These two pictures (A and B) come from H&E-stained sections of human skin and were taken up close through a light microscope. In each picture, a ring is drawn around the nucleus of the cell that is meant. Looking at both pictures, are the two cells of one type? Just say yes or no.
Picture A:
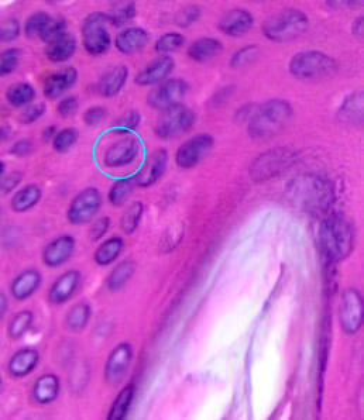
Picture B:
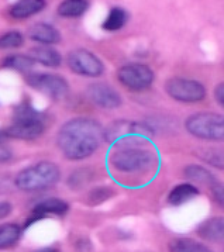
no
